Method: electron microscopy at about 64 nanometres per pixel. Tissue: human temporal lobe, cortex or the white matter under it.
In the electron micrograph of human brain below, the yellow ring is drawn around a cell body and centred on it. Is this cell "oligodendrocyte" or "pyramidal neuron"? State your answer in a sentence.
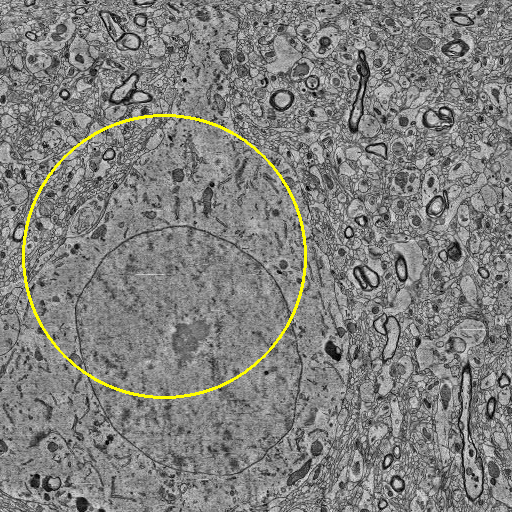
The cell in the middle of the ring is a pyramidal neuron.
